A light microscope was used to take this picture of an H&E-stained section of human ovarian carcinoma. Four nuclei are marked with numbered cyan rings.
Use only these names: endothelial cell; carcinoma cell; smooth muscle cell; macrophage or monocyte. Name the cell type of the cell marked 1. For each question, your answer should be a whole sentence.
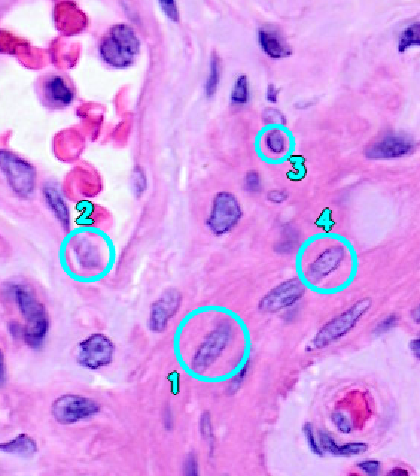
The cell assigned the number 1 is a smooth muscle cell.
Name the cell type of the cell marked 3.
The one labeled 3 is a smooth muscle cell, to put it simply.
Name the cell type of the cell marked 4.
The cell that is numbered 4 is a smooth muscle cell.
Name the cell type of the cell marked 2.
The cell bearing label 2 corresponds to an endothelial cell.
